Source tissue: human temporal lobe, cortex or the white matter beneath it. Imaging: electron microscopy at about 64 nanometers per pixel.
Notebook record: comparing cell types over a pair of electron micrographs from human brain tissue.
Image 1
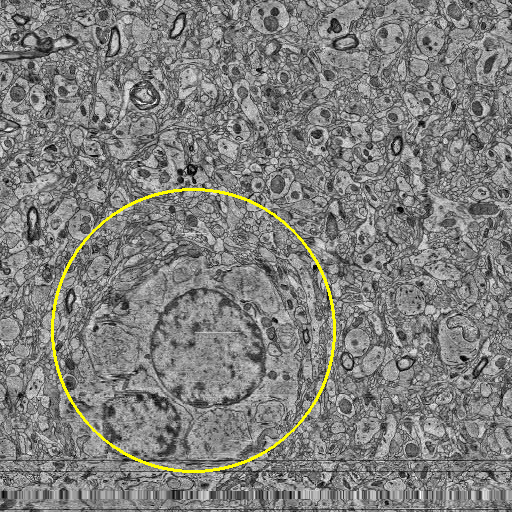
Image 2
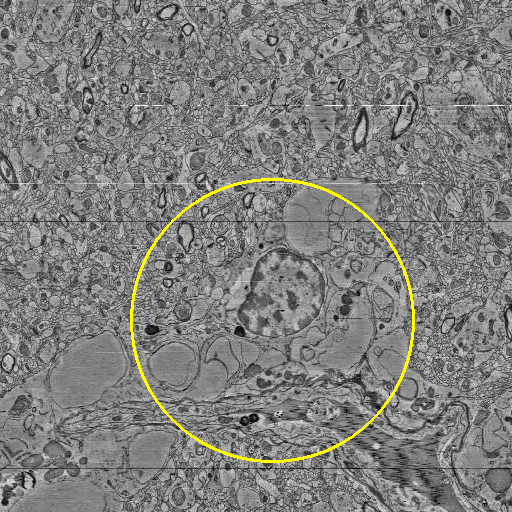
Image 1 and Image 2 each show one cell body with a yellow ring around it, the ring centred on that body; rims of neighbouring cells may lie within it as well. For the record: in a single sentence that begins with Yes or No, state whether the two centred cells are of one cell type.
No, two cell types are found among the centred cells of Image 1 and Image 2.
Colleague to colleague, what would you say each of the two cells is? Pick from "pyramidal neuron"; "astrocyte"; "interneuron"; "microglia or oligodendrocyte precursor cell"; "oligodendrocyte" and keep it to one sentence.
The cell in the first picture is an astrocyte; the second picture's cell is a microglial cell or oligodendrocyte precursor cell.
